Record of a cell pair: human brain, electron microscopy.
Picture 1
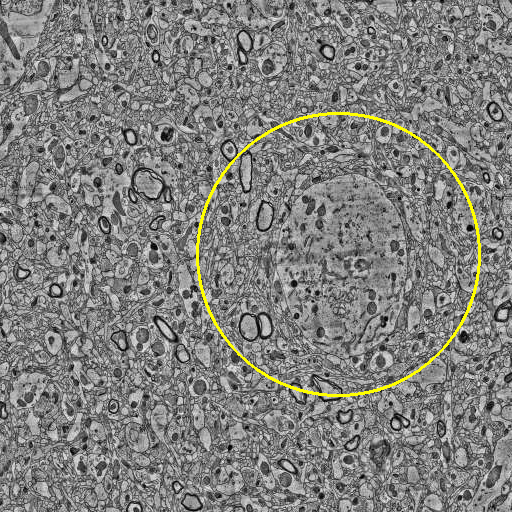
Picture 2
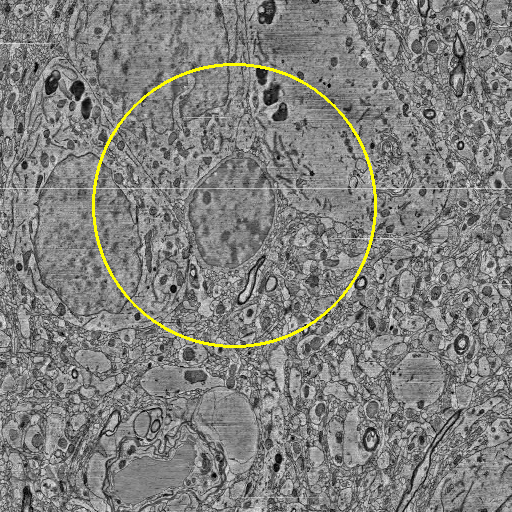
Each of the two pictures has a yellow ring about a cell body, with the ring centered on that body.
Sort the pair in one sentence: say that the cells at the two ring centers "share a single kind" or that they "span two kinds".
The cells centered in the rings of Pictures 1 and 2 span two kinds.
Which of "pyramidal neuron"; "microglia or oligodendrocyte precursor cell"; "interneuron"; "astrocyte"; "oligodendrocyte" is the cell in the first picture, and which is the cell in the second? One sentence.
The two differ: the first cell is a pyramidal neuron and the second is an oligodendrocyte.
